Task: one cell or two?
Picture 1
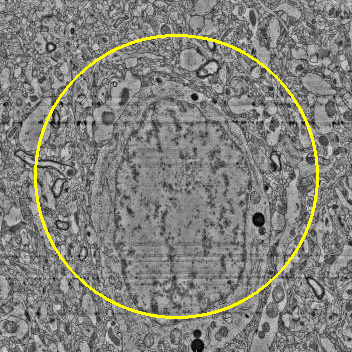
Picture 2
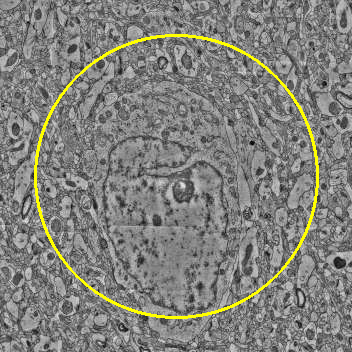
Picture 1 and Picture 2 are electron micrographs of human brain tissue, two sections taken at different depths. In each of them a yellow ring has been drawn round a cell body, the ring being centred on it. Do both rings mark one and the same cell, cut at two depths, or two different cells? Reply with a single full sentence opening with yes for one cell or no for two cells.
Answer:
No, the two yellow rings each circle a different cell.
